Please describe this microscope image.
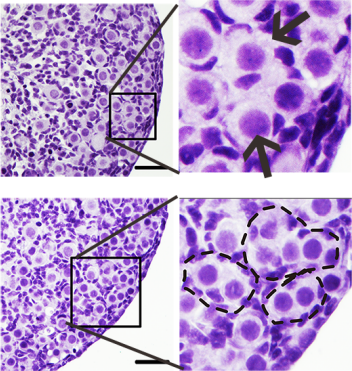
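In the upper enlargement, single oocytes are each wrapped by a thin rim of flat cells, forming primordial follicles. In the lower enlargement, the oocytes instead lie packed together in clusters with no flat cells between them, still gathered in germline cysts.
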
